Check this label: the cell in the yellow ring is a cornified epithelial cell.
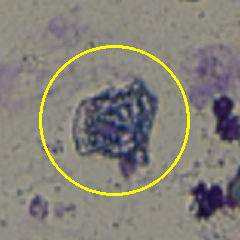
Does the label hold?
The label holds; the cell is a cornified epithelial cell.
